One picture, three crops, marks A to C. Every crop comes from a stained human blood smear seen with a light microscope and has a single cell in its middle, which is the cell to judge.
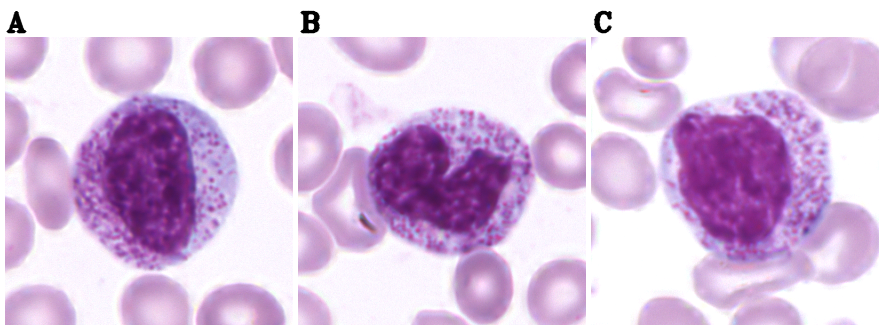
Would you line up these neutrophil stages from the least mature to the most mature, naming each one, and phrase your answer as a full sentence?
When lined up from least to most mature, the crops are crop C (a myelocyte), crop A (a metamyelocyte) and crop B (a band neutrophil).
